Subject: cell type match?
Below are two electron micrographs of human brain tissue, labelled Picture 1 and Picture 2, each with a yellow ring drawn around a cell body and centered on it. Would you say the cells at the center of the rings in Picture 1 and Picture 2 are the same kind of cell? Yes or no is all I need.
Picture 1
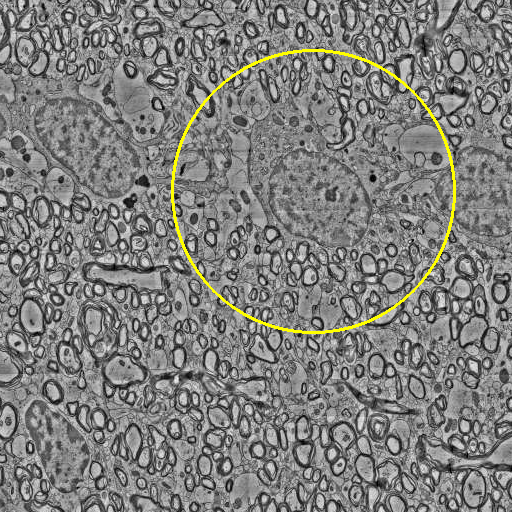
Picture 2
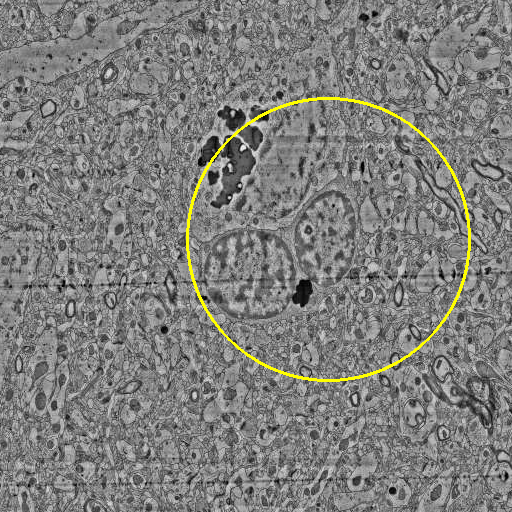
yes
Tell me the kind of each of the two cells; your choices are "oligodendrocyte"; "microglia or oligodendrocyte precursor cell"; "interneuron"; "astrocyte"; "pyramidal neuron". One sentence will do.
In each picture the ringed cell is an oligodendrocyte.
